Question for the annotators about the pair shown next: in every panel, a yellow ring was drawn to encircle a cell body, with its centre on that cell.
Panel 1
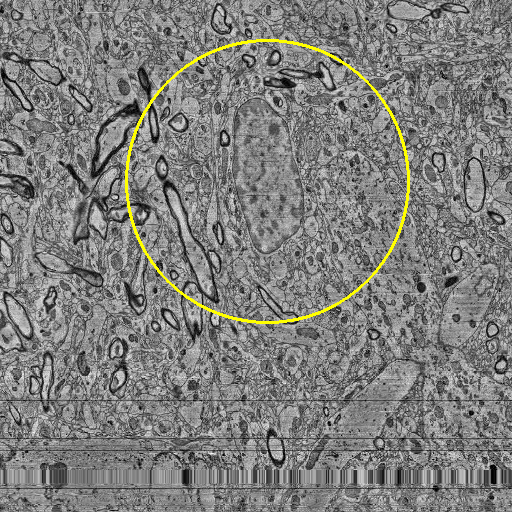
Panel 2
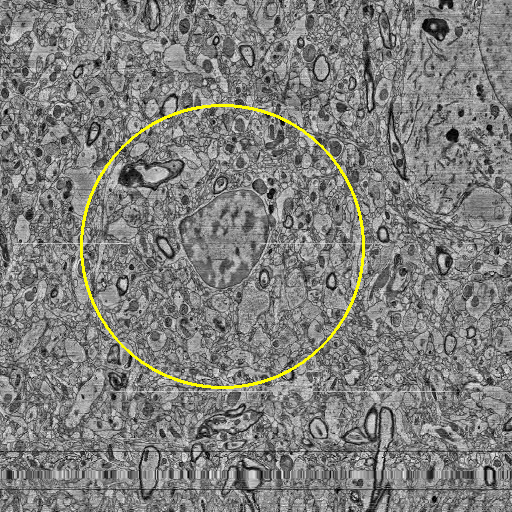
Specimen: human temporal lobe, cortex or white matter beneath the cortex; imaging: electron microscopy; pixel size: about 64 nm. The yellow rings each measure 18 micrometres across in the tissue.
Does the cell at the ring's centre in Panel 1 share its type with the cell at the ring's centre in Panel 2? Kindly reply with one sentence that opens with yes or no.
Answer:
Yes, in Panels 1 and 2 the cells at the ring centres belong to a single type.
